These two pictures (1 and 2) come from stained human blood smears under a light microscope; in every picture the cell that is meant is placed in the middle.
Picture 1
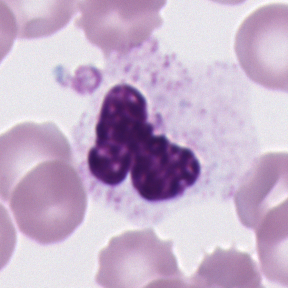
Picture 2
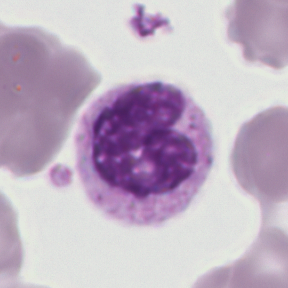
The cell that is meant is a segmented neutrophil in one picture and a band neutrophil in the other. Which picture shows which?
1: segmented neutrophil
2: band neutrophil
